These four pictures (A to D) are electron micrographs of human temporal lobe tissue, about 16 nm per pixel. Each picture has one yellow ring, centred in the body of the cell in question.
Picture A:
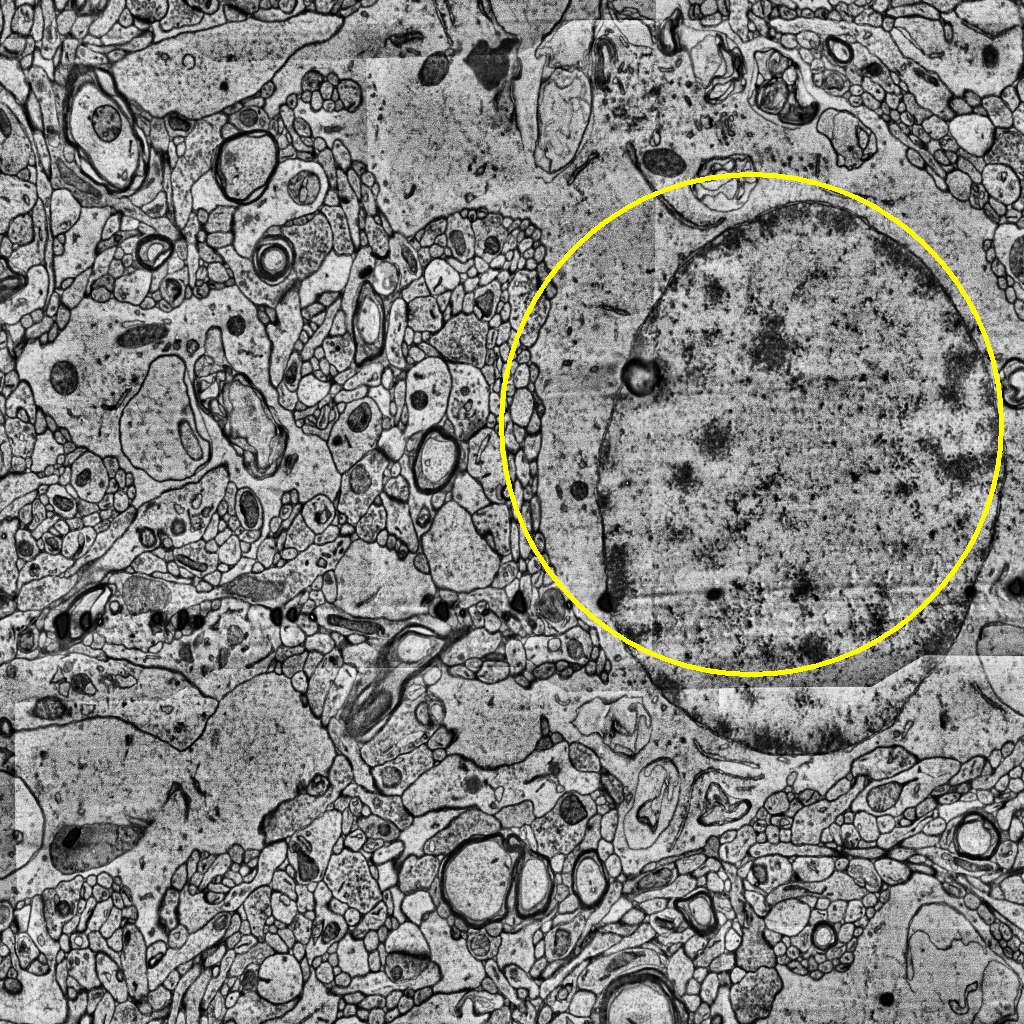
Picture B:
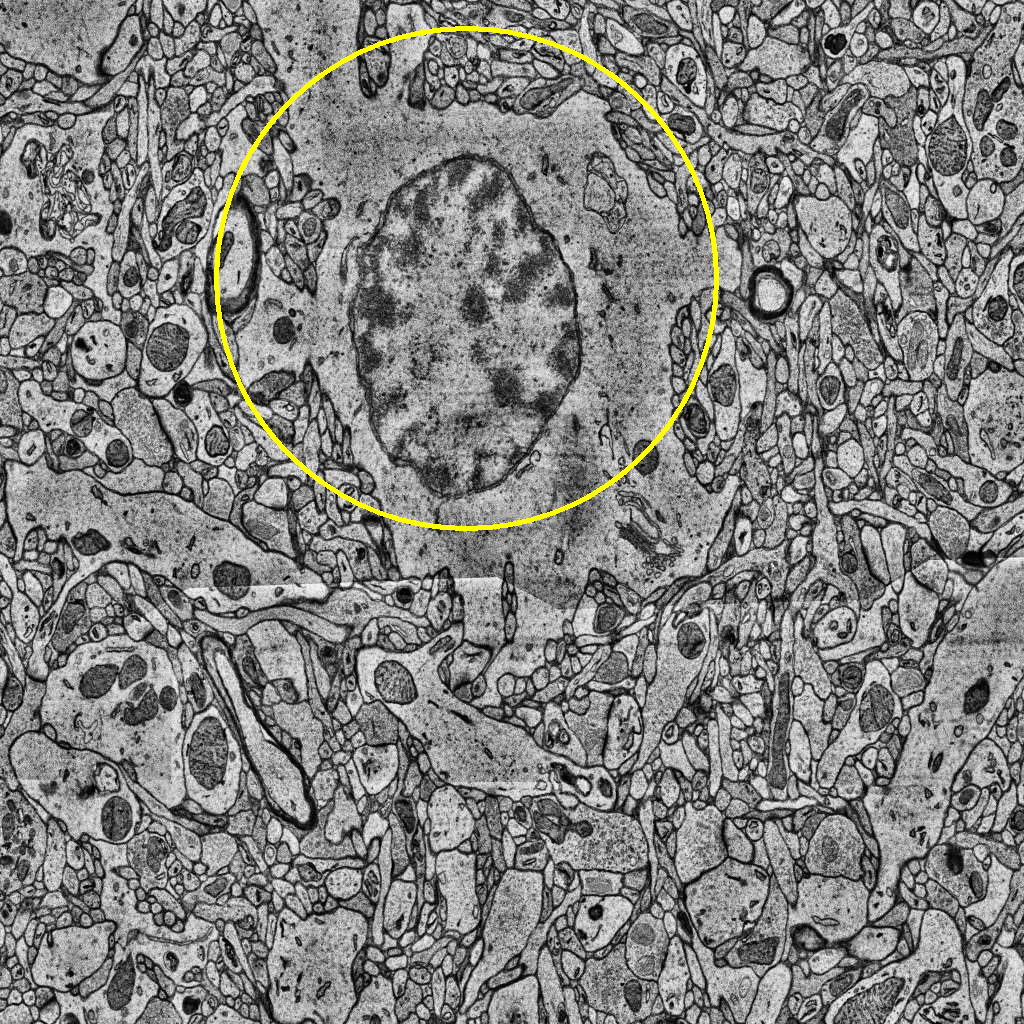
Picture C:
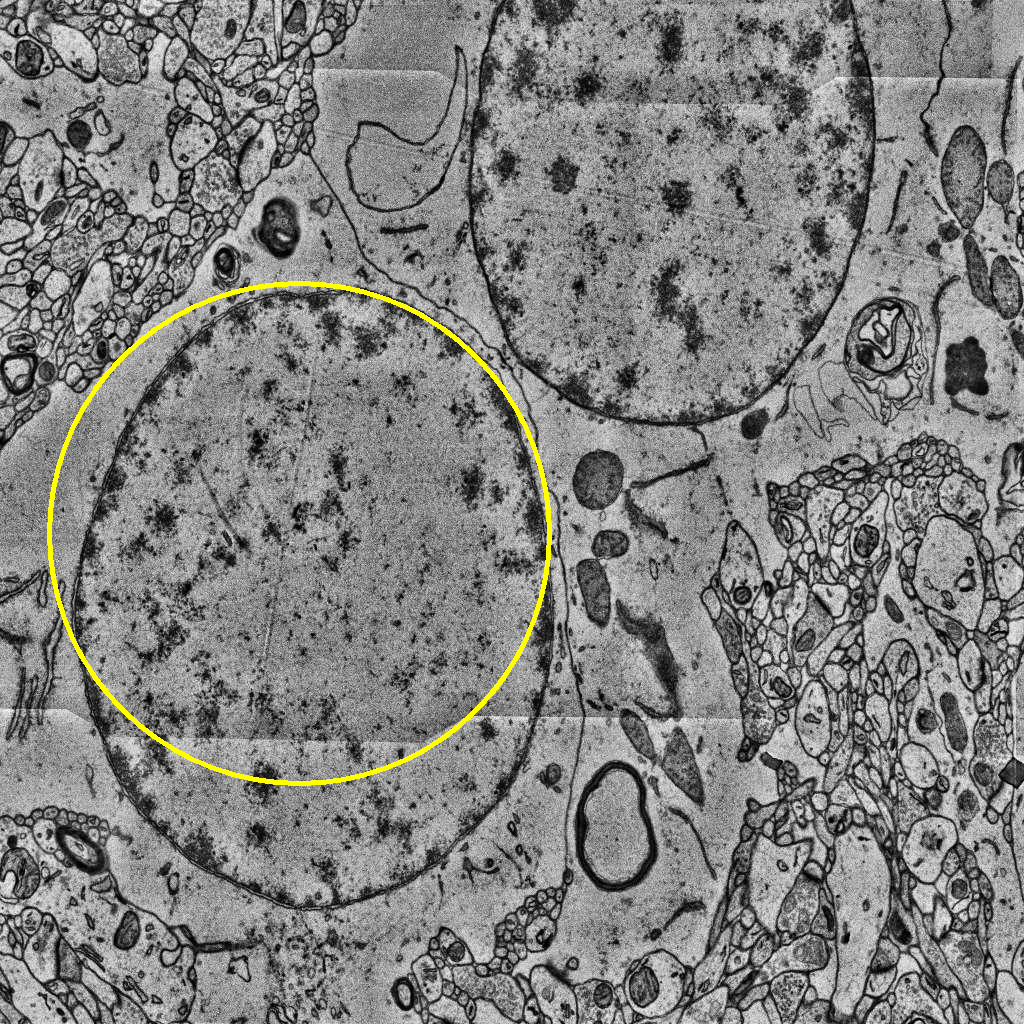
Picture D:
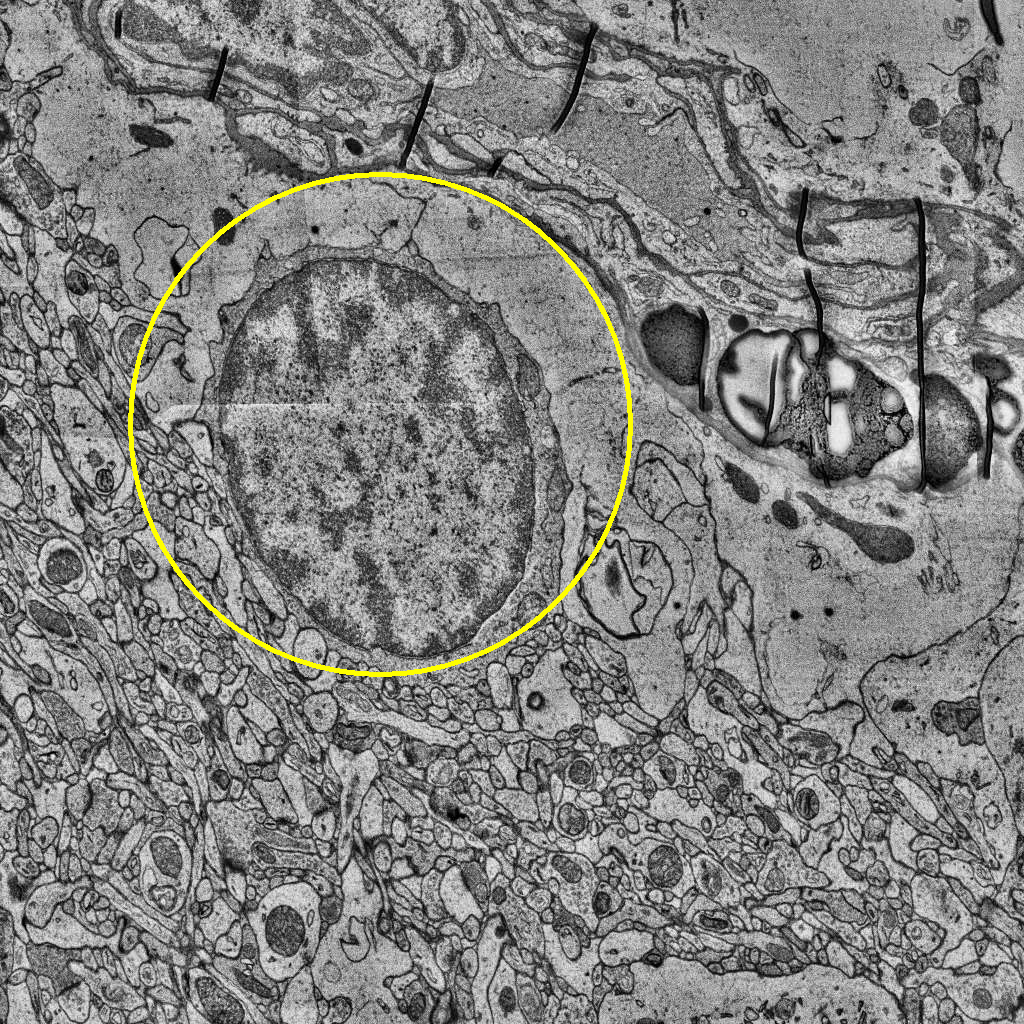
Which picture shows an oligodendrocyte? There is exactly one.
Picture D shows the oligodendrocyte.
